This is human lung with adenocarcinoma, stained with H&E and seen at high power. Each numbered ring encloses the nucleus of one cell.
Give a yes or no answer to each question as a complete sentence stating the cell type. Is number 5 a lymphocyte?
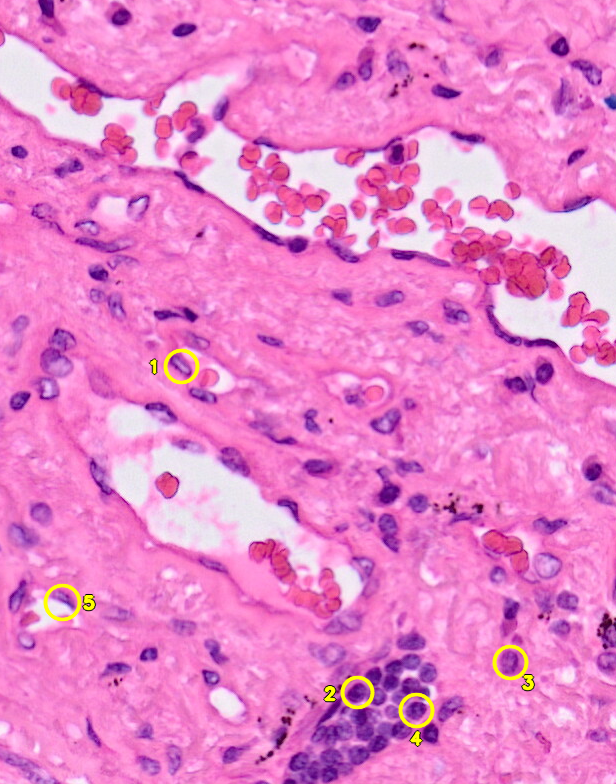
No, the cell carrying number 5 is an endothelial cell rather than a lymphocyte.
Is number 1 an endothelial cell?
Yes, cell number 1 in this section is an endothelial cell.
